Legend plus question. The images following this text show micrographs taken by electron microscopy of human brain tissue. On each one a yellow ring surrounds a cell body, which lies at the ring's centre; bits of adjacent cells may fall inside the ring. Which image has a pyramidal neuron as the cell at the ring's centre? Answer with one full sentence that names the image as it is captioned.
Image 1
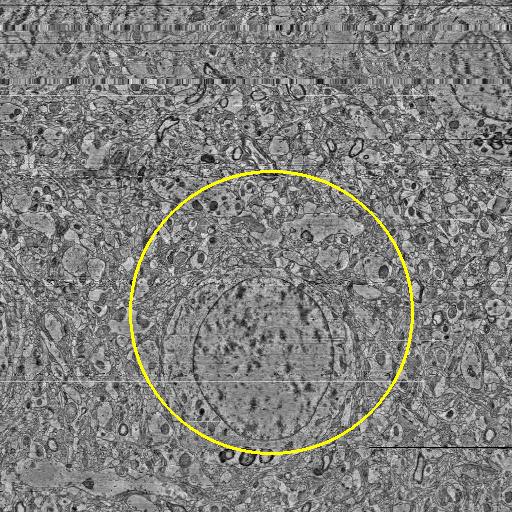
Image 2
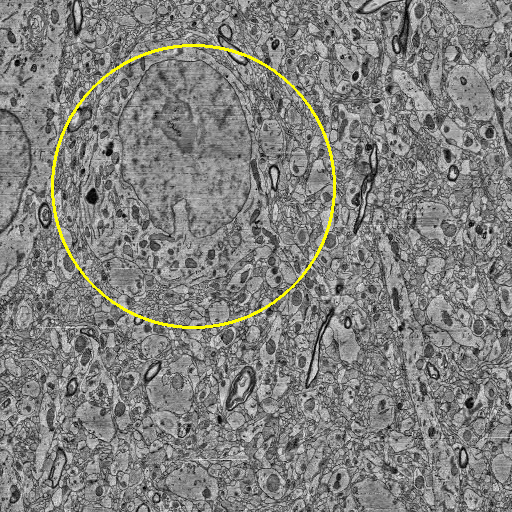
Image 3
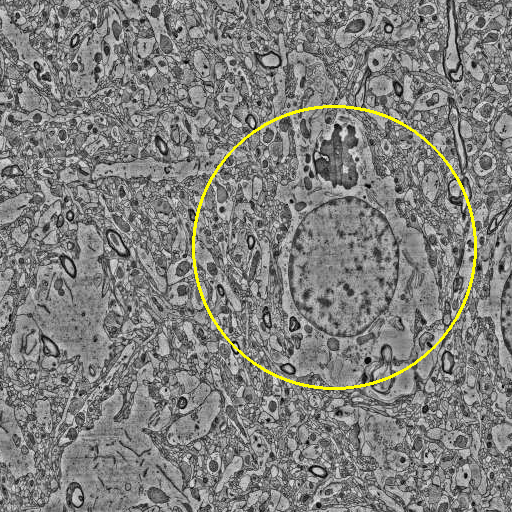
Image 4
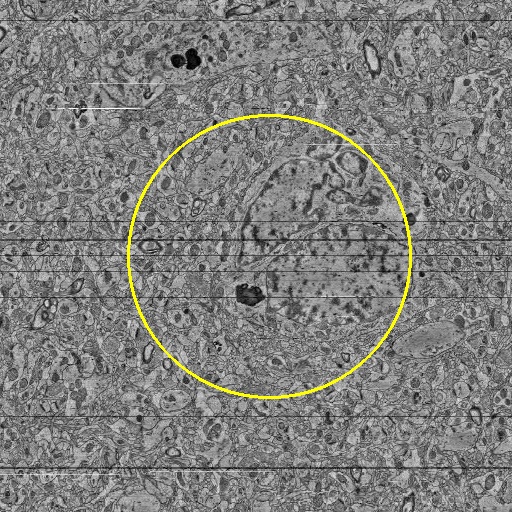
The centred cell that was asked for is the one in Image 1.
